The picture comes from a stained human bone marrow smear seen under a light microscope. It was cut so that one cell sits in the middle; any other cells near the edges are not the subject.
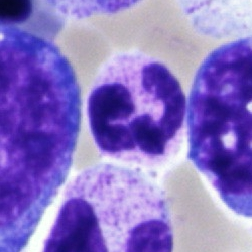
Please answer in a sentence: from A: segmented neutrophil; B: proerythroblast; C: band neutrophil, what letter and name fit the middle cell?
Located in the middle of the crop is a segmented neutrophil, and option A is therefore correct.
